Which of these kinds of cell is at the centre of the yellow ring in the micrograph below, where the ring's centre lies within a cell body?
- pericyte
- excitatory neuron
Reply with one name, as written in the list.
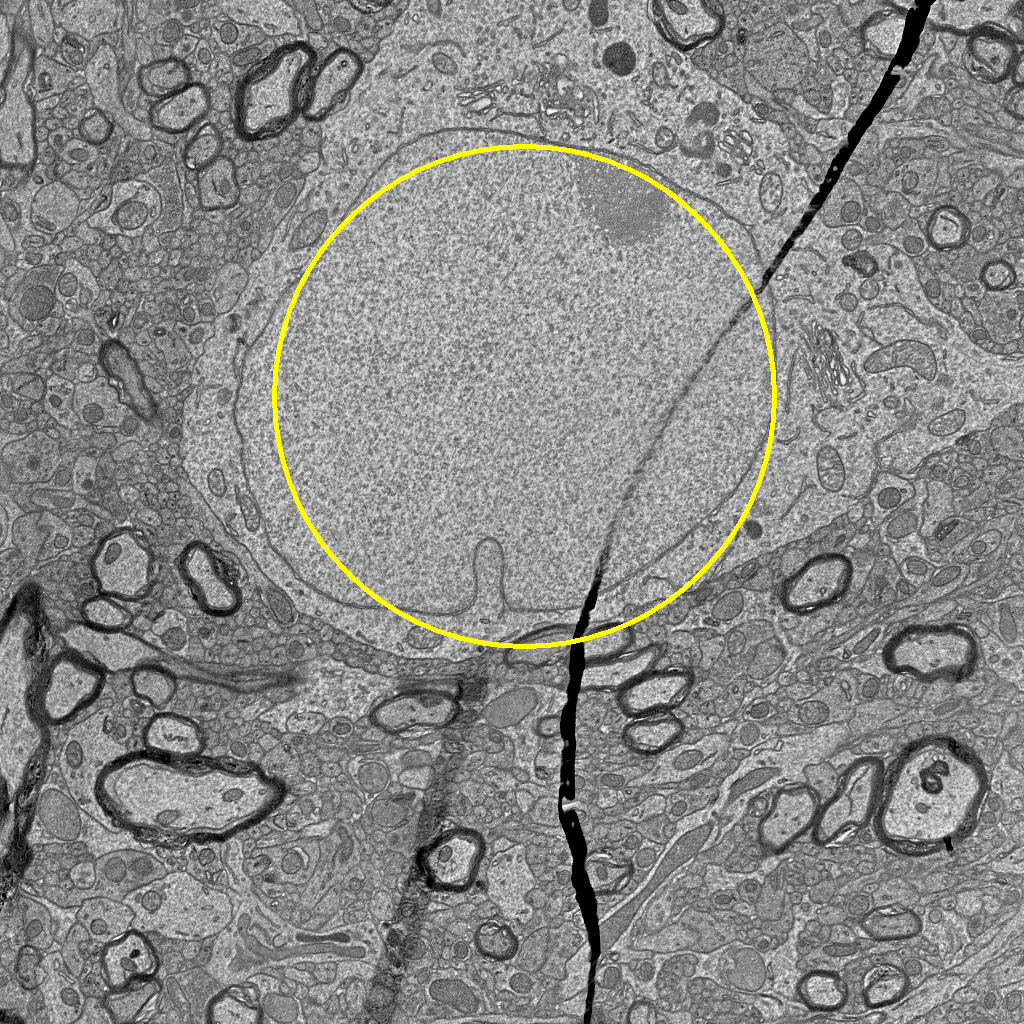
excitatory neuron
